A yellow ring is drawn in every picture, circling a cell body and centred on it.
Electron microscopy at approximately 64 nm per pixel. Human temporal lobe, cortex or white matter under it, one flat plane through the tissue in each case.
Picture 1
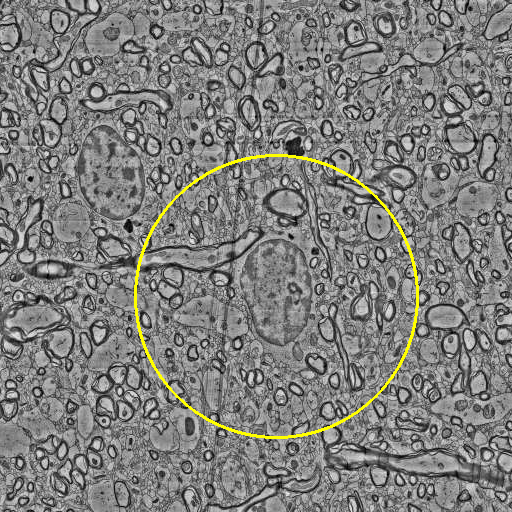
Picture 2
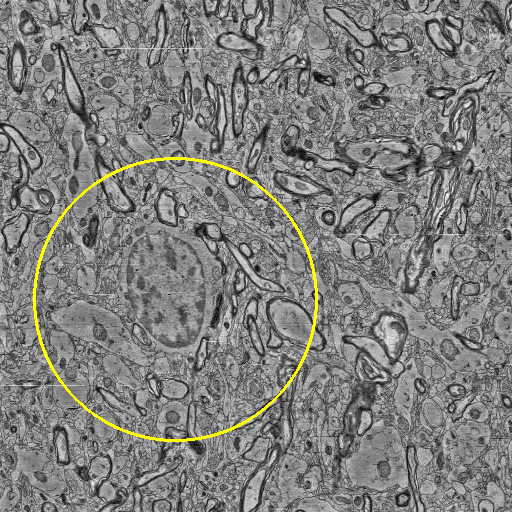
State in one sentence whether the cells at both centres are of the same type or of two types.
The cells at the two ring centres, one per picture, are of the same type.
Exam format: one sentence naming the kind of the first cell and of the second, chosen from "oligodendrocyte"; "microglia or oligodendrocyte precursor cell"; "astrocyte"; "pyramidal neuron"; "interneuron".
Each of the two cells is an oligodendrocyte.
